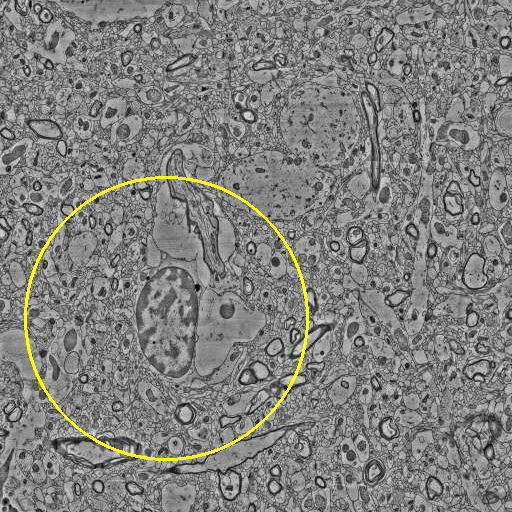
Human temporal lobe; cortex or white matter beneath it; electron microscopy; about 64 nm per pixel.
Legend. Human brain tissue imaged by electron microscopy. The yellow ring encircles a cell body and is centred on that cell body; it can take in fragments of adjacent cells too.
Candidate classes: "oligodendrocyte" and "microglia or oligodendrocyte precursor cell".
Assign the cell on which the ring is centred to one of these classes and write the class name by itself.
microglia or oligodendrocyte precursor cell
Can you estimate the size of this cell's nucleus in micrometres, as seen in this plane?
Approximately 7 x 4 micrometres in this plane.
